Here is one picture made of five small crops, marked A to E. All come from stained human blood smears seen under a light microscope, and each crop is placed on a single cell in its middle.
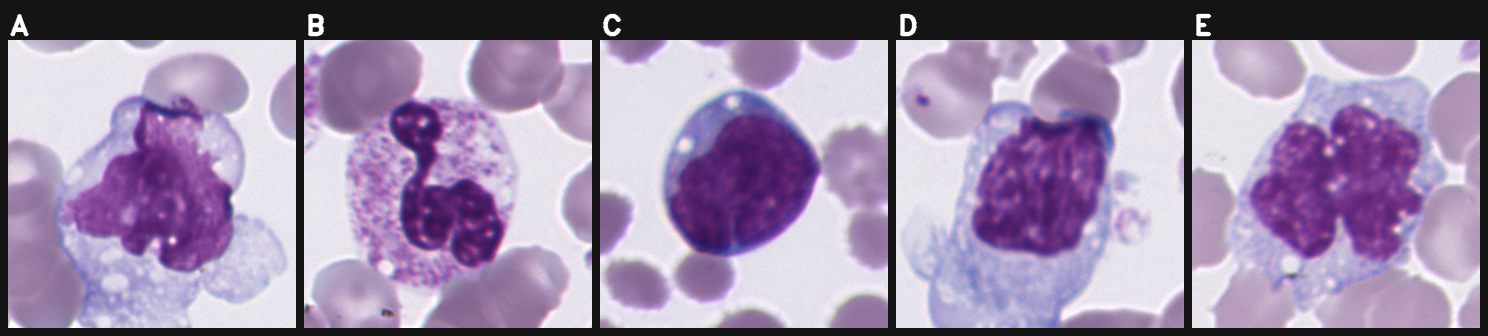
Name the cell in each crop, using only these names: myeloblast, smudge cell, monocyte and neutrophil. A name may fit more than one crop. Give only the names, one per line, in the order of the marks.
monocyte
neutrophil
monocyte
monocyte
monocyte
